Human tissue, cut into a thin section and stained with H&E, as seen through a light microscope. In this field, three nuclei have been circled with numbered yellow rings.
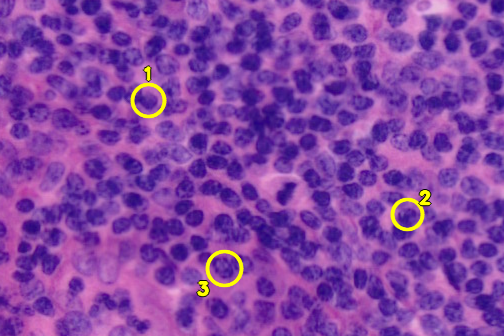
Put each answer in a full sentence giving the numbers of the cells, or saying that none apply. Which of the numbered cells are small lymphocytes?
The cells which carry the numbers 1 and 2 are small lymphocytes.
